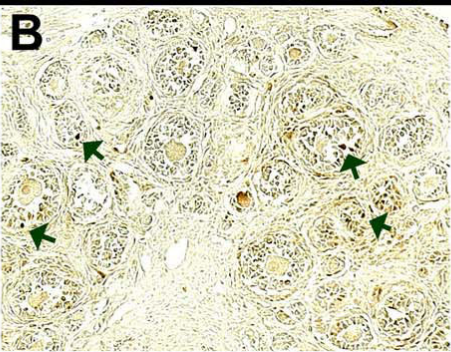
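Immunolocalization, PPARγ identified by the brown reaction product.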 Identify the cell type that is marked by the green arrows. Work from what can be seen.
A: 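The arrows point to small cells inside round follicles. The marked cells are stained darker brown than their neighbours. So: granulosa cells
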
